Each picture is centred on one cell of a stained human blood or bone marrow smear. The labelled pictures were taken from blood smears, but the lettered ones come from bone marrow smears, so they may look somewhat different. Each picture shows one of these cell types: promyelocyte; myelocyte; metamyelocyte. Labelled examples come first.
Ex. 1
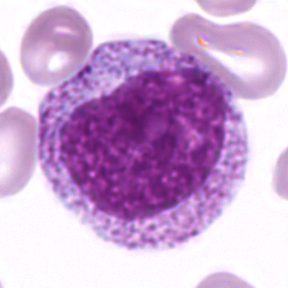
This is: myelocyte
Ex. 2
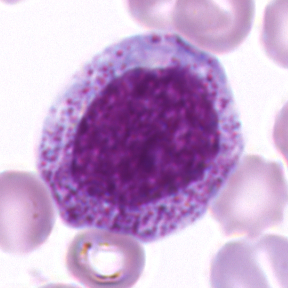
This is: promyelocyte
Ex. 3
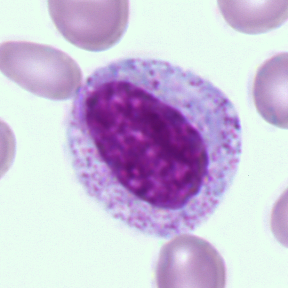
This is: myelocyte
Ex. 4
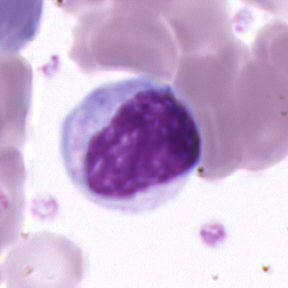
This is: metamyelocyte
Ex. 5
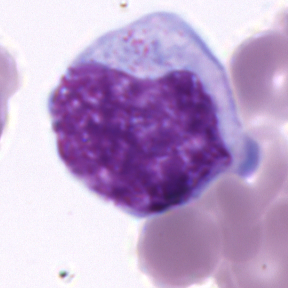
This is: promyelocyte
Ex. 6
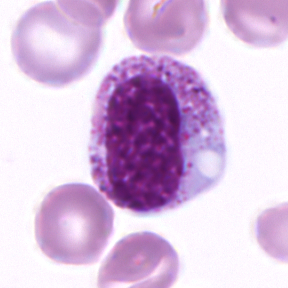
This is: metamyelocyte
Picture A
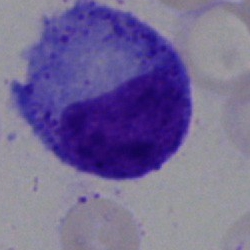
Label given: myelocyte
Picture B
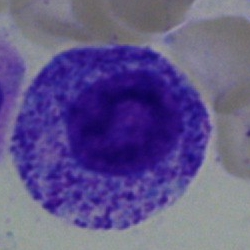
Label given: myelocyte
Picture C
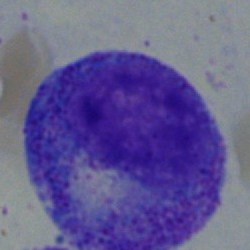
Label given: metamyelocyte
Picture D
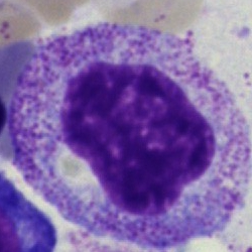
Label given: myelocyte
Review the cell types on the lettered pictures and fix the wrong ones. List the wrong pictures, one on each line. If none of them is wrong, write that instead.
C: promyelocyte, not metamyelocyte
D: metamyelocyte, not myelocyte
